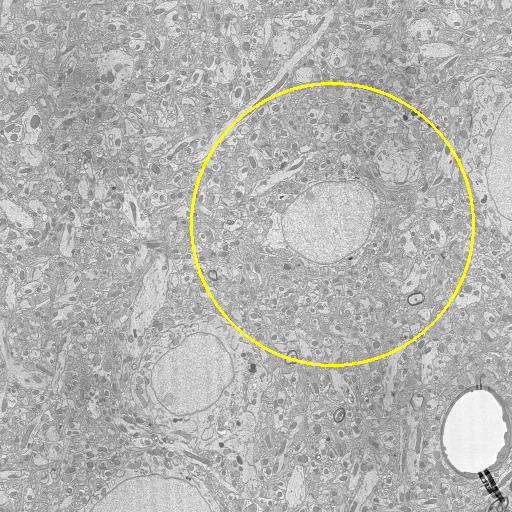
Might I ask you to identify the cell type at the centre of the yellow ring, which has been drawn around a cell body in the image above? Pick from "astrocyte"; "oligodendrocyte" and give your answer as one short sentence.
The centre of the ring falls on an astrocyte.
